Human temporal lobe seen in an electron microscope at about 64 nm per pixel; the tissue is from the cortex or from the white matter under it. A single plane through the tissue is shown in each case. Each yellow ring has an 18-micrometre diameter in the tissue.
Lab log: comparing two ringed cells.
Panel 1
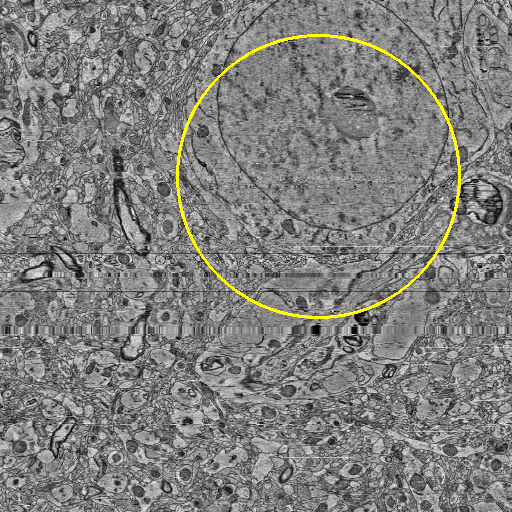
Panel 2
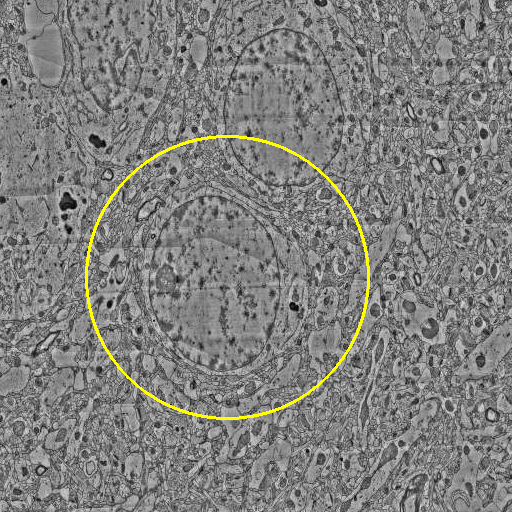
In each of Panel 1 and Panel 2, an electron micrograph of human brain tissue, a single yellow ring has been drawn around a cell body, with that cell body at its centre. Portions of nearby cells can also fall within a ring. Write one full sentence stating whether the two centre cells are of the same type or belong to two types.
The cells at the ring centres in Panel 1 and Panel 2 are of the same type.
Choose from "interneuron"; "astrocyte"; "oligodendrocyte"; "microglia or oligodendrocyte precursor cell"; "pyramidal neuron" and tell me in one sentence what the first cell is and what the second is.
Both cells are the same kind, each one being a pyramidal neuron.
